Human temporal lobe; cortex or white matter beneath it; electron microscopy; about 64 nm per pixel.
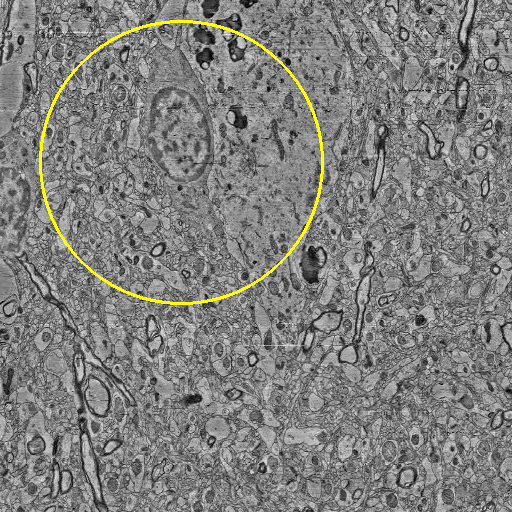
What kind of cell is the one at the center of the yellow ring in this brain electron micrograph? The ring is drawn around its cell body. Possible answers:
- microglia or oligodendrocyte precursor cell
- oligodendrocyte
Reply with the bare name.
oligodendrocyte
